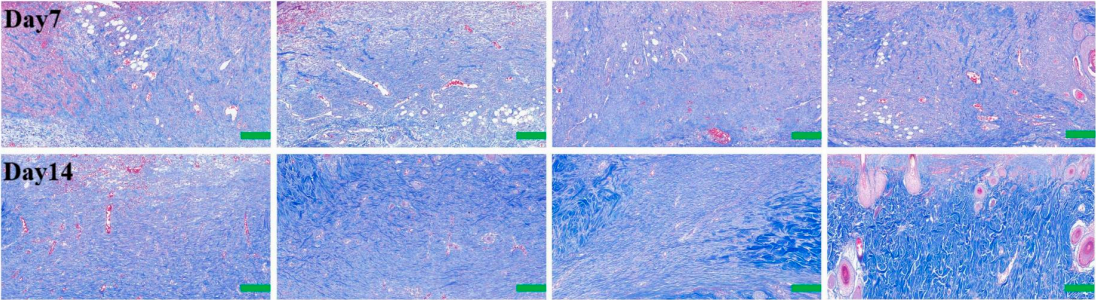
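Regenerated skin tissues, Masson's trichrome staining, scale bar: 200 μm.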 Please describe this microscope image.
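In the upper images, the fibres are looser and more irregular, and round clear spaces are scattered among them. In the lower images, the fibres are denser and more closely packed, with a wavy, interwoven texture. Small red-stained profiles of vessels are dotted through the tissue, and in the rightmost images, round structures with pink-red cores sit among the blue fibres.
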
